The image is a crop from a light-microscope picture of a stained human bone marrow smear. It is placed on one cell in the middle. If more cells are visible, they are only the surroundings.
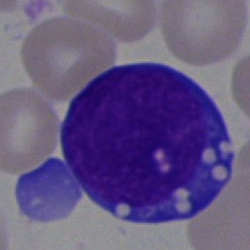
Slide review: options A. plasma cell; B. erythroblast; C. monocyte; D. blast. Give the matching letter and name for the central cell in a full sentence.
Option D is the right choice, the central cell being a blast.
